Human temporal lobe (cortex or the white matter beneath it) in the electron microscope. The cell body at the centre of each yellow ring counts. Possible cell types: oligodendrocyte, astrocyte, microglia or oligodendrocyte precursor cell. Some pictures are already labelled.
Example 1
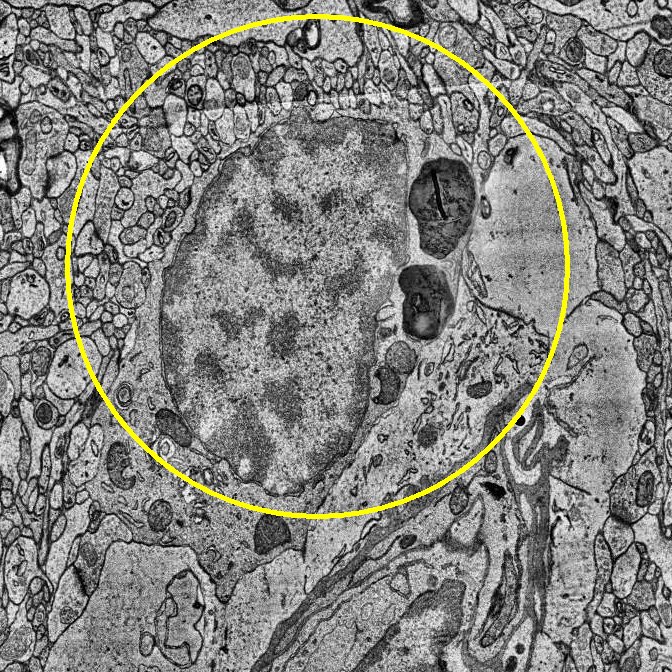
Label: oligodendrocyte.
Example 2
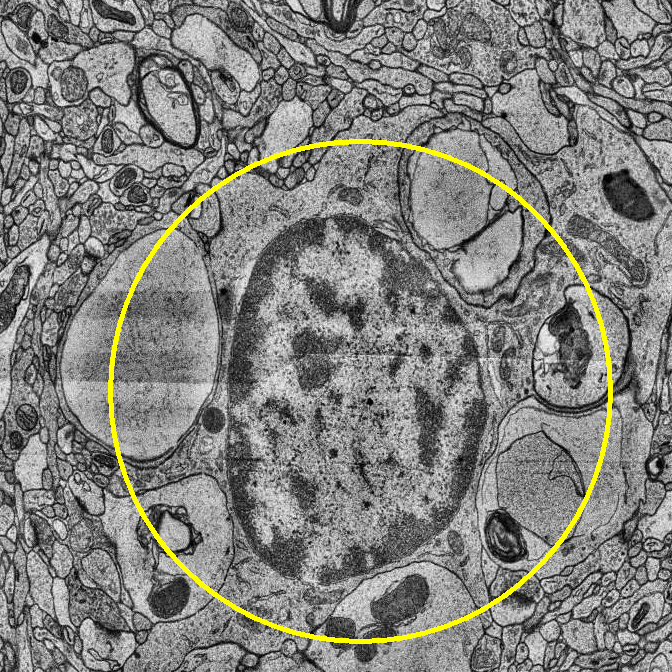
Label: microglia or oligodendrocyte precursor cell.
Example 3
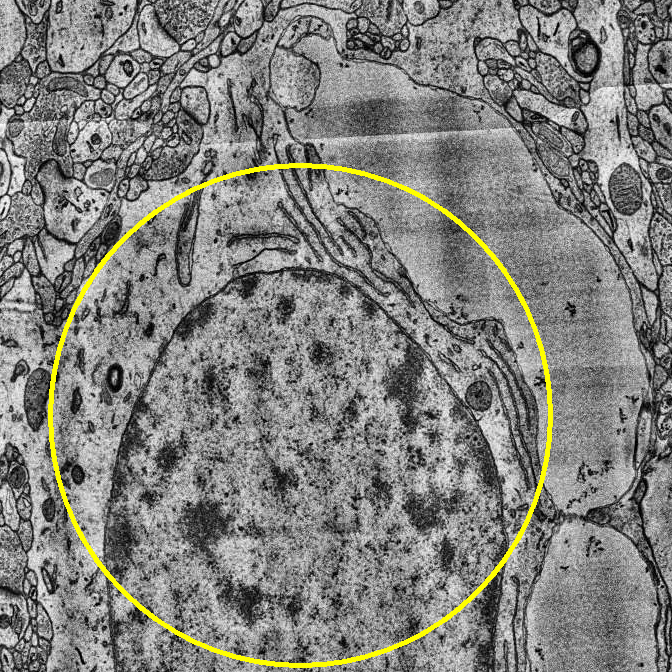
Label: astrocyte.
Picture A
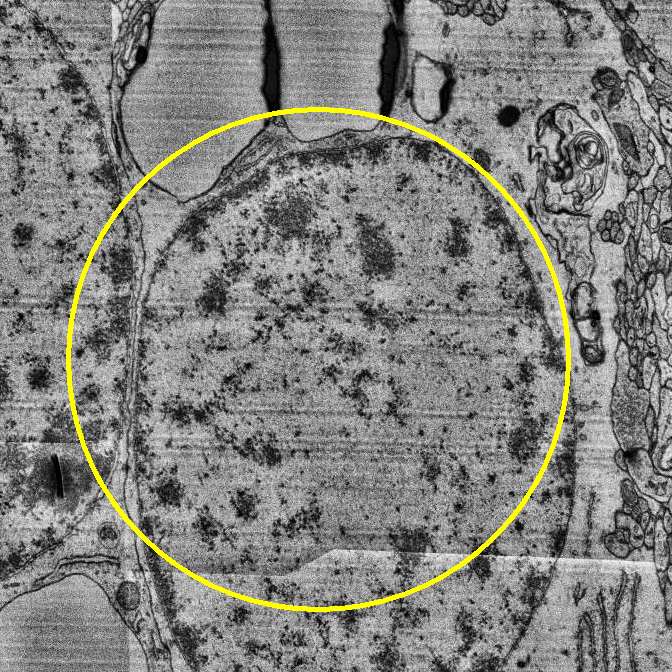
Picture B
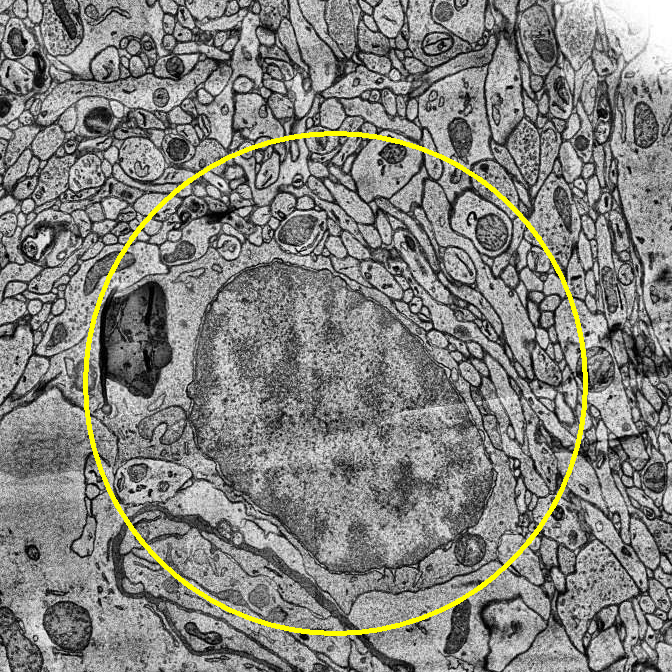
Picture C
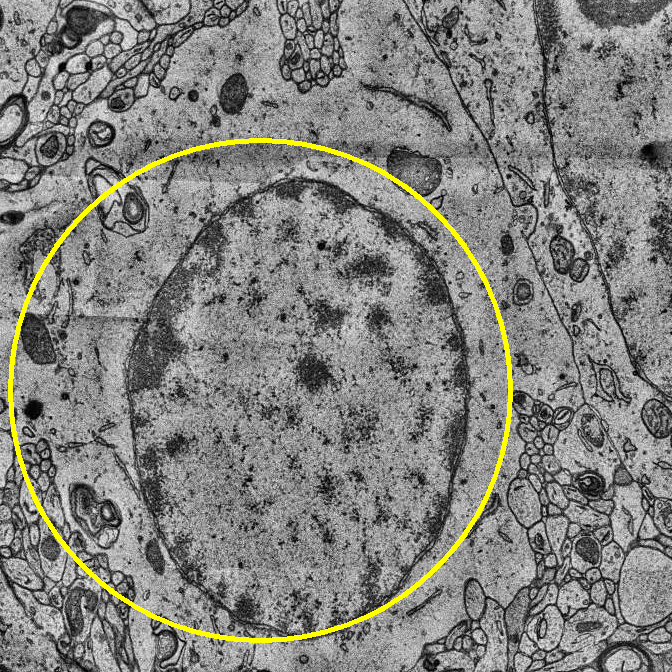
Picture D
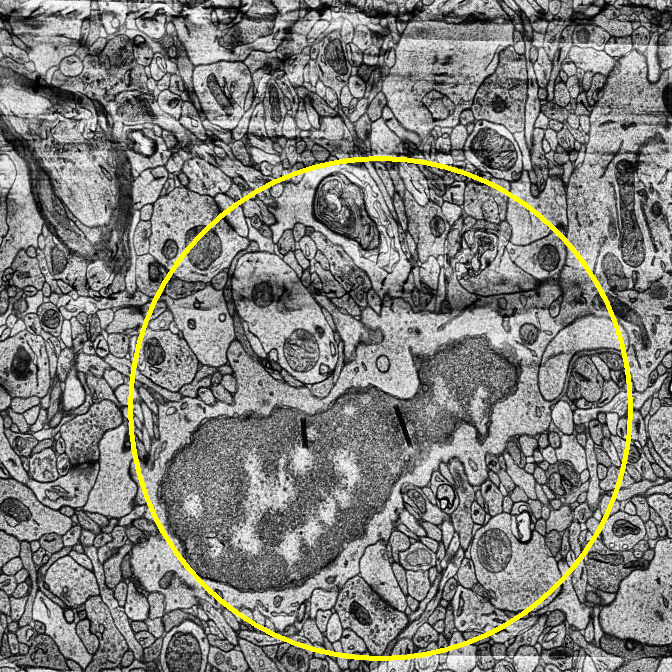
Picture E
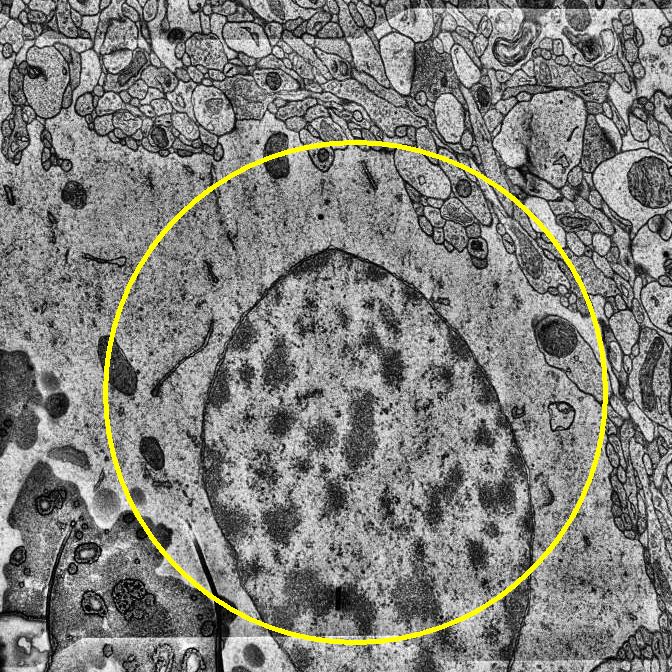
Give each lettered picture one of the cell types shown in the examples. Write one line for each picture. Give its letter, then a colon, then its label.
A: astrocyte.
B: oligodendrocyte.
C: astrocyte.
D: microglia or oligodendrocyte precursor cell.
E: astrocyte.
